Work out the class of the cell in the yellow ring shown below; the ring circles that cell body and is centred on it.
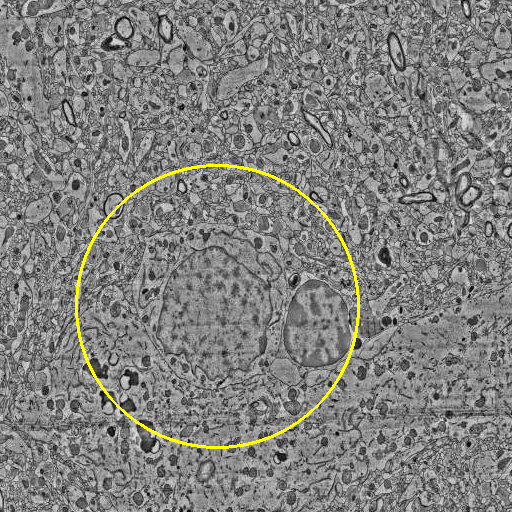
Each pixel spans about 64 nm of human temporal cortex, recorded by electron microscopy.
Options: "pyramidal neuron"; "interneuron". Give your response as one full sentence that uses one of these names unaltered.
The body ringed in yellow, right at the ring's centre, is that of an interneuron.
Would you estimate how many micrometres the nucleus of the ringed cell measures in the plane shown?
The nucleus works out at approximately 8 by 7 micrometres in this plane.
